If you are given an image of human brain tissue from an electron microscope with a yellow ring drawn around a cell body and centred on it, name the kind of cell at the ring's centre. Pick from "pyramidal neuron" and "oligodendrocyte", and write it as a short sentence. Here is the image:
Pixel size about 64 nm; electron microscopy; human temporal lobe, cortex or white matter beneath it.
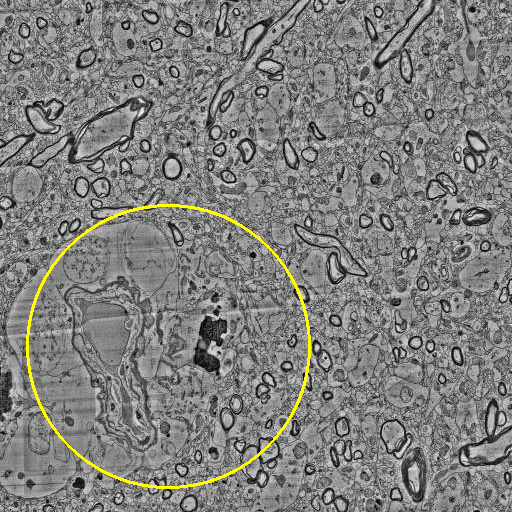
The cell at the ring's centre is an oligodendrocyte.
